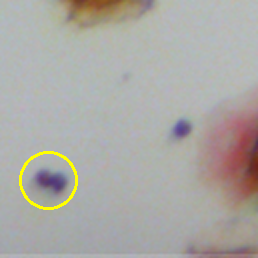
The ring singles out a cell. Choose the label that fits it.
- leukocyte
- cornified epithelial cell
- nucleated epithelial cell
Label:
leukocyte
